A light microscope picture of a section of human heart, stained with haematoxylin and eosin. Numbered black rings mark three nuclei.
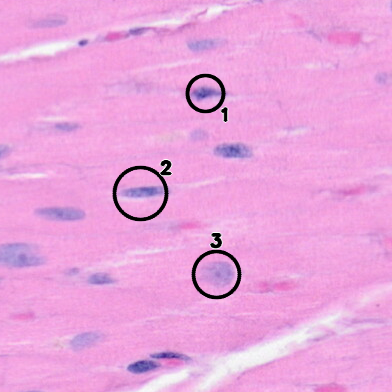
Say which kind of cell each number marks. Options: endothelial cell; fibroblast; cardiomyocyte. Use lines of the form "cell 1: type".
cell 1: endothelial cell
cell 2: endothelial cell
cell 3: cardiomyocyte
